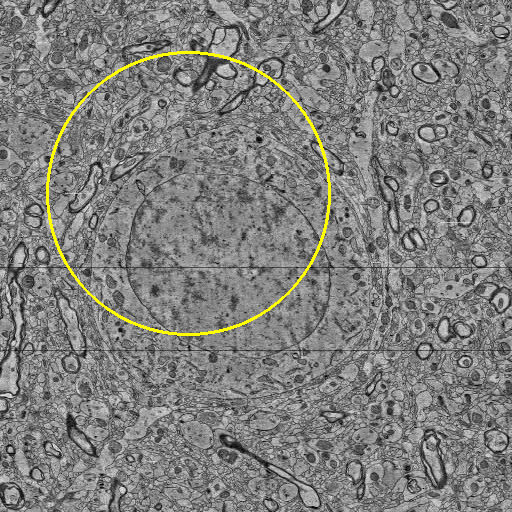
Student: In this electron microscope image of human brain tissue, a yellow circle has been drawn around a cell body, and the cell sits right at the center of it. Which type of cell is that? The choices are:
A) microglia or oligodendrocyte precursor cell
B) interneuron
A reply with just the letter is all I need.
B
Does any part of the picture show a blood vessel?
No, none shows.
